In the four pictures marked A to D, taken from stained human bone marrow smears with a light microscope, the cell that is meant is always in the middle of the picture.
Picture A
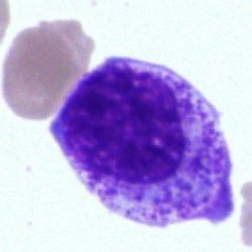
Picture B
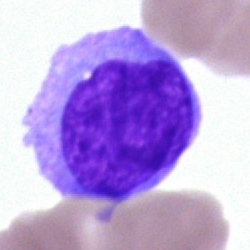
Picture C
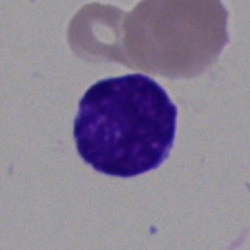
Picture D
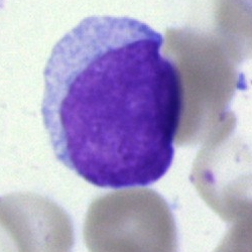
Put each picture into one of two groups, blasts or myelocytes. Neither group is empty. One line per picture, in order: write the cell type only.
myelocyte
blast
blast
blast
